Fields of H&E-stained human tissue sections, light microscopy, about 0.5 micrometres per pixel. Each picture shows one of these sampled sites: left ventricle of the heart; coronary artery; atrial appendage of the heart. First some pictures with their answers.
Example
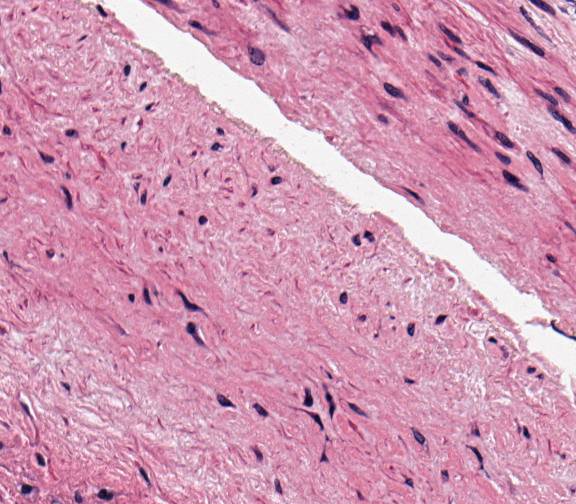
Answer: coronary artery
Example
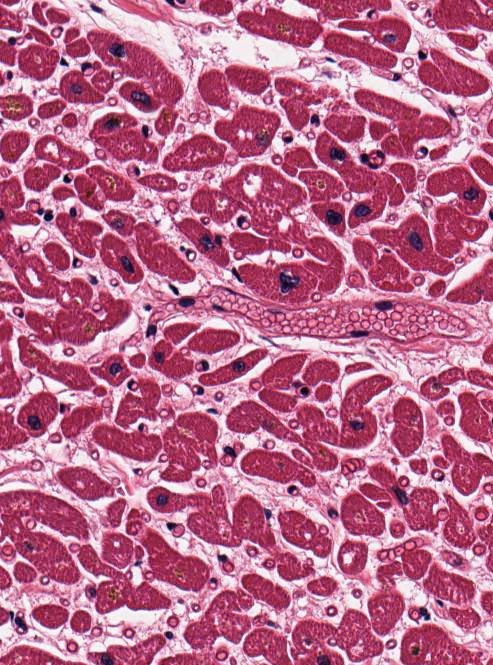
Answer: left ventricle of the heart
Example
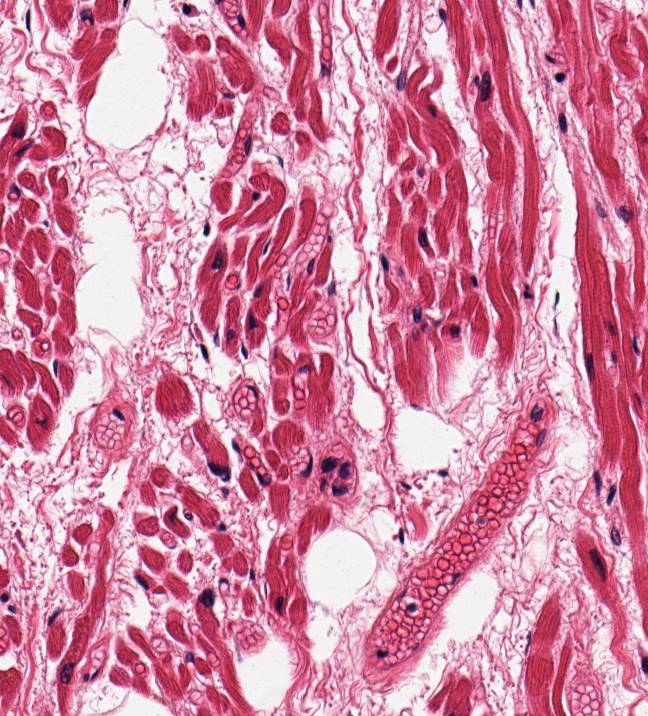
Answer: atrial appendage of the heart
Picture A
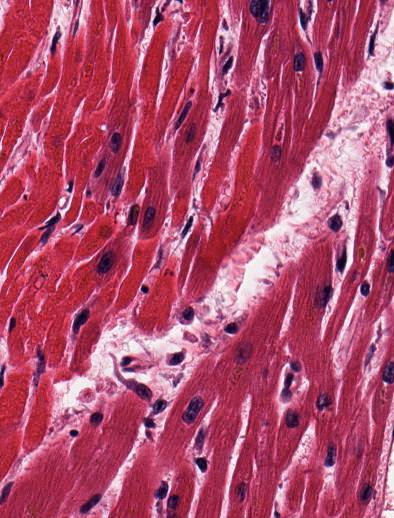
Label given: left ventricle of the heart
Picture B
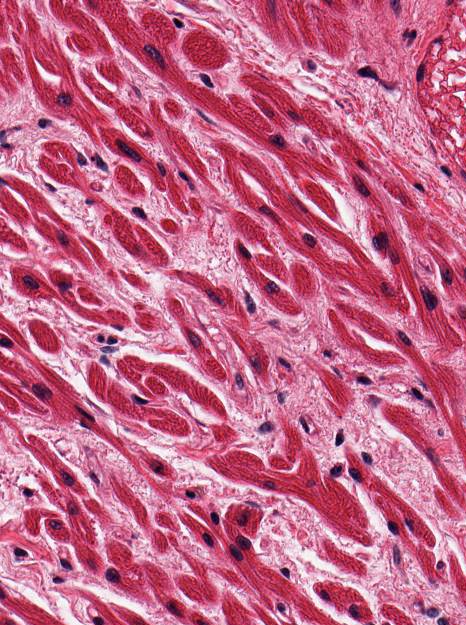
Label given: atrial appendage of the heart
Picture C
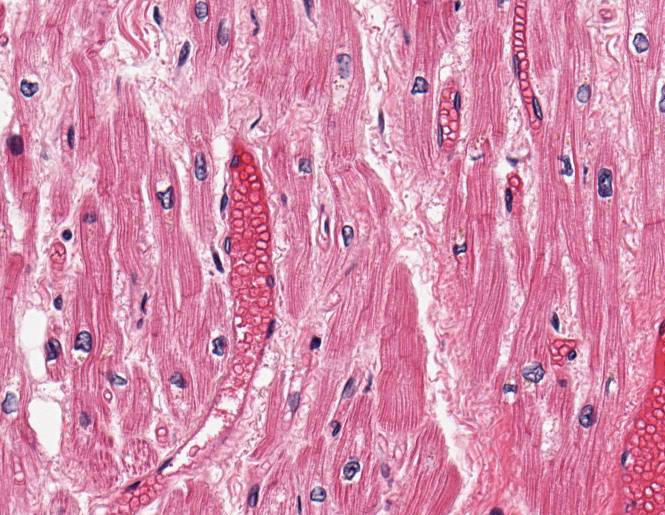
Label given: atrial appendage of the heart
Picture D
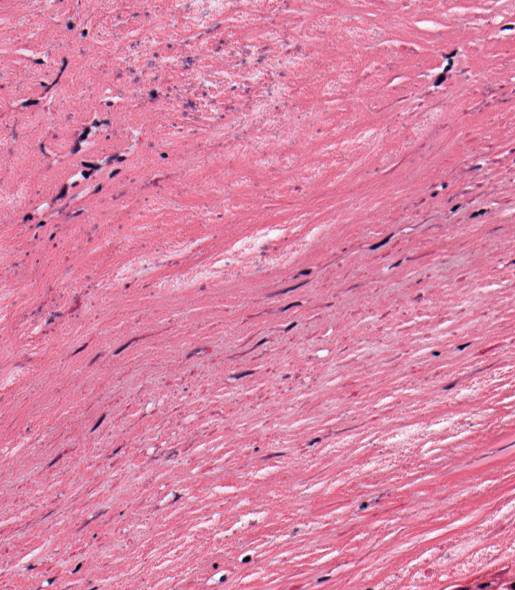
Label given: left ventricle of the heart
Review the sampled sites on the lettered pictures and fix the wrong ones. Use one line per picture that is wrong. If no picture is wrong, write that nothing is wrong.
D: change left ventricle of the heart to coronary artery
